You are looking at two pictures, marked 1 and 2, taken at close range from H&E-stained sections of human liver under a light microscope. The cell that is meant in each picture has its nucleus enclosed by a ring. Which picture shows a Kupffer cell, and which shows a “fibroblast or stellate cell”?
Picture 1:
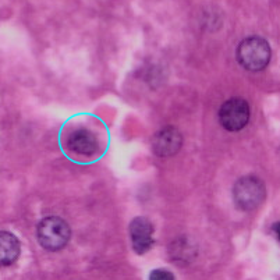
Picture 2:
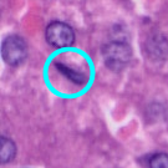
1: Kupffer cell
2: fibroblast or stellate cell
